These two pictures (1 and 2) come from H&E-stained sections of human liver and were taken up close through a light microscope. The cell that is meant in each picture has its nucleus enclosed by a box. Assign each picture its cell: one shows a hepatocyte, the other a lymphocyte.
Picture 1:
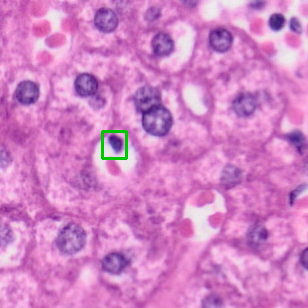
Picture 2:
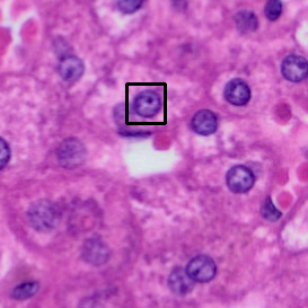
1: lymphocyte
2: hepatocyte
